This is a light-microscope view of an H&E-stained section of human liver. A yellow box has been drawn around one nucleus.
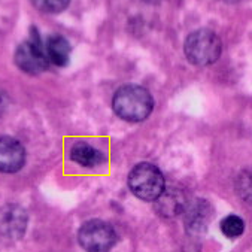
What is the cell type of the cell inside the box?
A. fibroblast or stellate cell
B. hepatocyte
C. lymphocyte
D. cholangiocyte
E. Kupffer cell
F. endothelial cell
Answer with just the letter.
A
